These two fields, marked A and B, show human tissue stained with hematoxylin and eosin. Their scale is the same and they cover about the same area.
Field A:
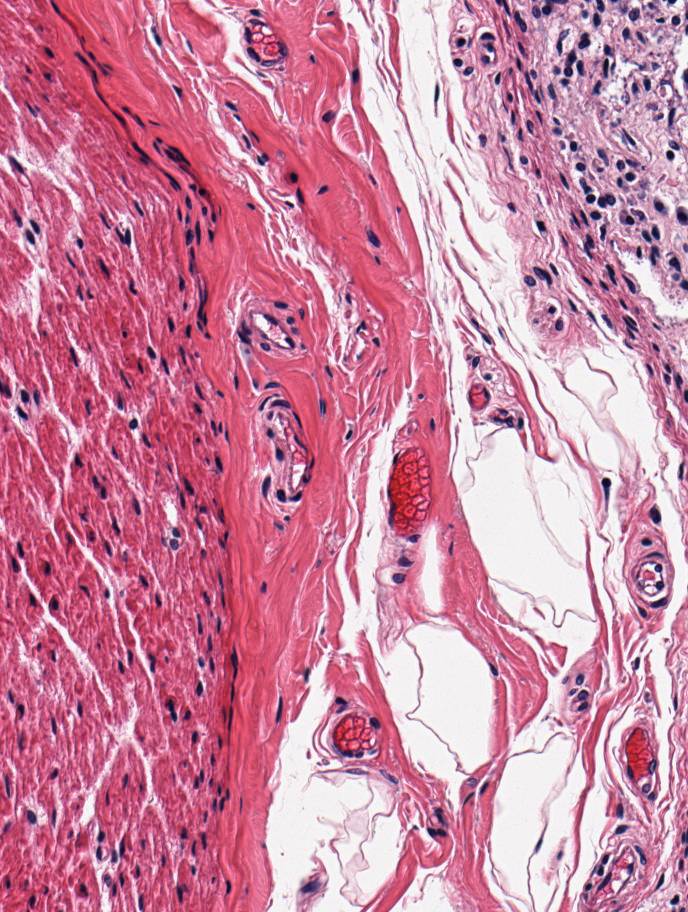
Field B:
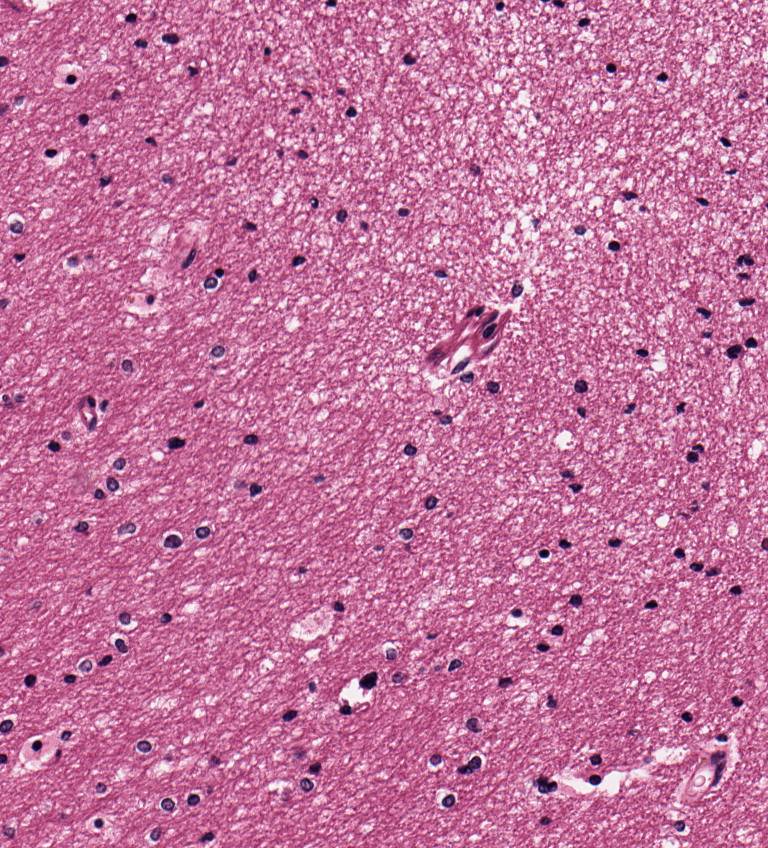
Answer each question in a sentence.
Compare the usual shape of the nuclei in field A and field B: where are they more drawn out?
The nuclei are more elongated in field A.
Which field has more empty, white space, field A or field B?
It is field A in which white space covers the larger part.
